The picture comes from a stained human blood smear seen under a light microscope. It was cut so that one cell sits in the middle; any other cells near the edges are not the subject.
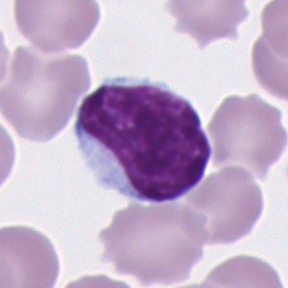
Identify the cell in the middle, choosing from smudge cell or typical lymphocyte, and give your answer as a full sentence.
Seen at the centre of the crop is a typical lymphocyte.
